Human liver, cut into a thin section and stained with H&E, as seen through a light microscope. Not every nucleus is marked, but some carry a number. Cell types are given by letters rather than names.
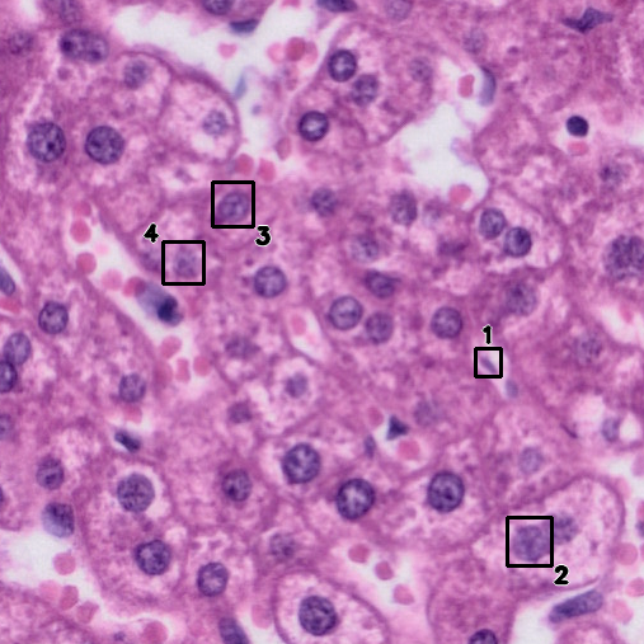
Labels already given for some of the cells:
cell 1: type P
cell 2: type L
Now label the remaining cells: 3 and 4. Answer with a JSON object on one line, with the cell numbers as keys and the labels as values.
{"3": "type L", "4": "type L"}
